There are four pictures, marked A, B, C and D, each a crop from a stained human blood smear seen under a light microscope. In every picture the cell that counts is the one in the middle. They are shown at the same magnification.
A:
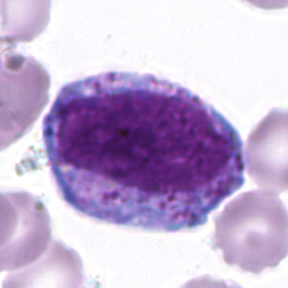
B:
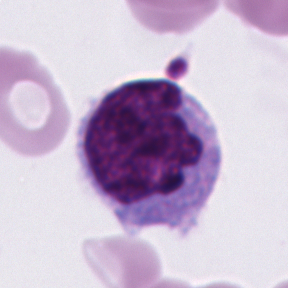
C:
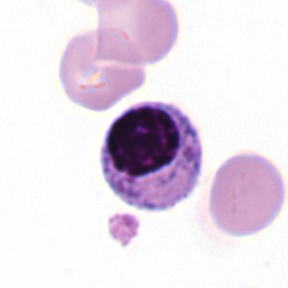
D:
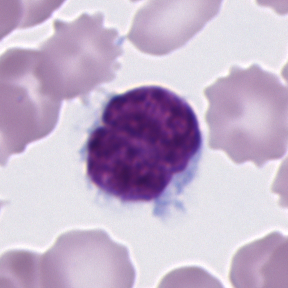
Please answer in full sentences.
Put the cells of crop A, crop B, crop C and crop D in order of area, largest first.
Largest first: A, B, D, C.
